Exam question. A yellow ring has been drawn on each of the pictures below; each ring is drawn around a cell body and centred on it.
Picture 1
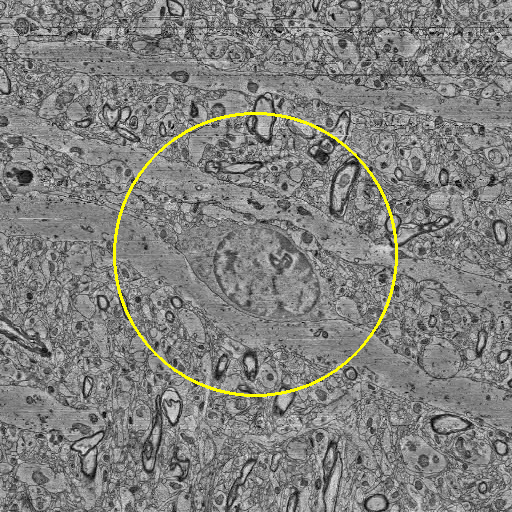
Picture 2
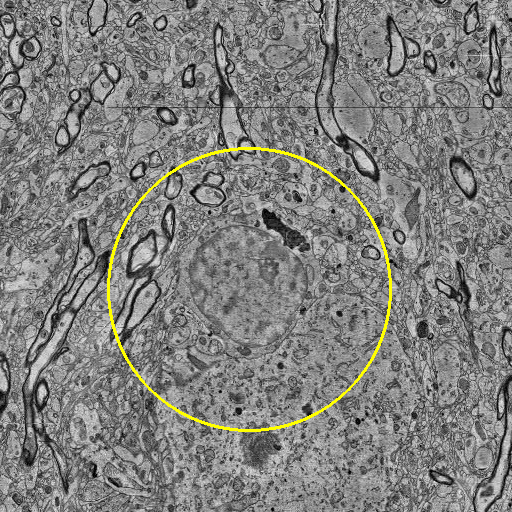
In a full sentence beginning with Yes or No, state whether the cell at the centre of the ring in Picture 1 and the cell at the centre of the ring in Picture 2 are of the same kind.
Yes, the two cells are of the same kind.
